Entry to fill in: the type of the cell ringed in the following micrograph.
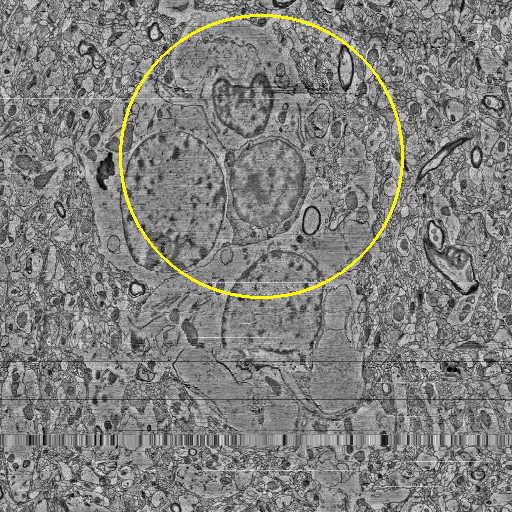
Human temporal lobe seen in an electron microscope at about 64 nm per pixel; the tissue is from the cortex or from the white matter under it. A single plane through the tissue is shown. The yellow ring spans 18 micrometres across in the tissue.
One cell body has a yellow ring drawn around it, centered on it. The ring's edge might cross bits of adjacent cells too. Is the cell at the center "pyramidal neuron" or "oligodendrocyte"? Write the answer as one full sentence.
This entry names an oligodendrocyte as the cell whose body lies at the ring's center.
